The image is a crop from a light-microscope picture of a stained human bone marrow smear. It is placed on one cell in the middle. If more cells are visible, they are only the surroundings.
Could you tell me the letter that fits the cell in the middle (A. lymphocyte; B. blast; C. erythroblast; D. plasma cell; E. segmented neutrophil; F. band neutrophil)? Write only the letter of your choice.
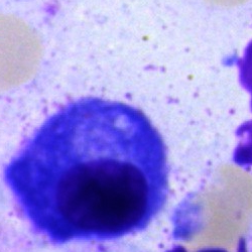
D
